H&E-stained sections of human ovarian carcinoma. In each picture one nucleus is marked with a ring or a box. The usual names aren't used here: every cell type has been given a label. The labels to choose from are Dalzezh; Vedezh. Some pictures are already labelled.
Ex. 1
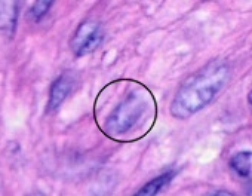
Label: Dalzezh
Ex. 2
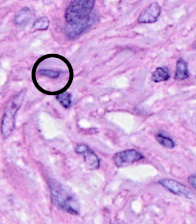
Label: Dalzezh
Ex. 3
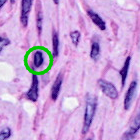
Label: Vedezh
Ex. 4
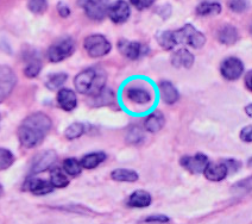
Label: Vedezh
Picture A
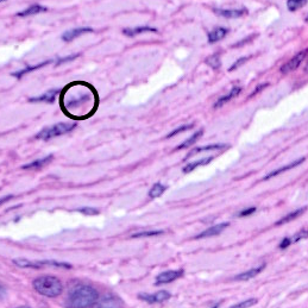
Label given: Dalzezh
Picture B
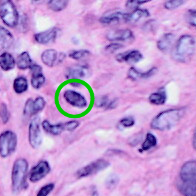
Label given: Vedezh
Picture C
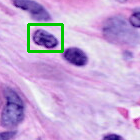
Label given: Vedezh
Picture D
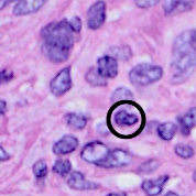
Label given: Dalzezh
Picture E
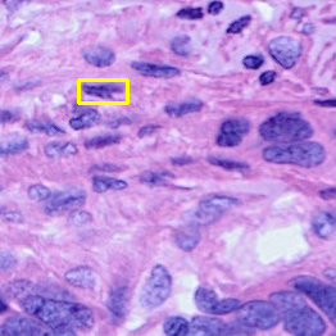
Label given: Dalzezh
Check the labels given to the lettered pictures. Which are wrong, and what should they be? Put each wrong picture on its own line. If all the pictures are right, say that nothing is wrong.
D should be Vedezh, not Dalzezh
